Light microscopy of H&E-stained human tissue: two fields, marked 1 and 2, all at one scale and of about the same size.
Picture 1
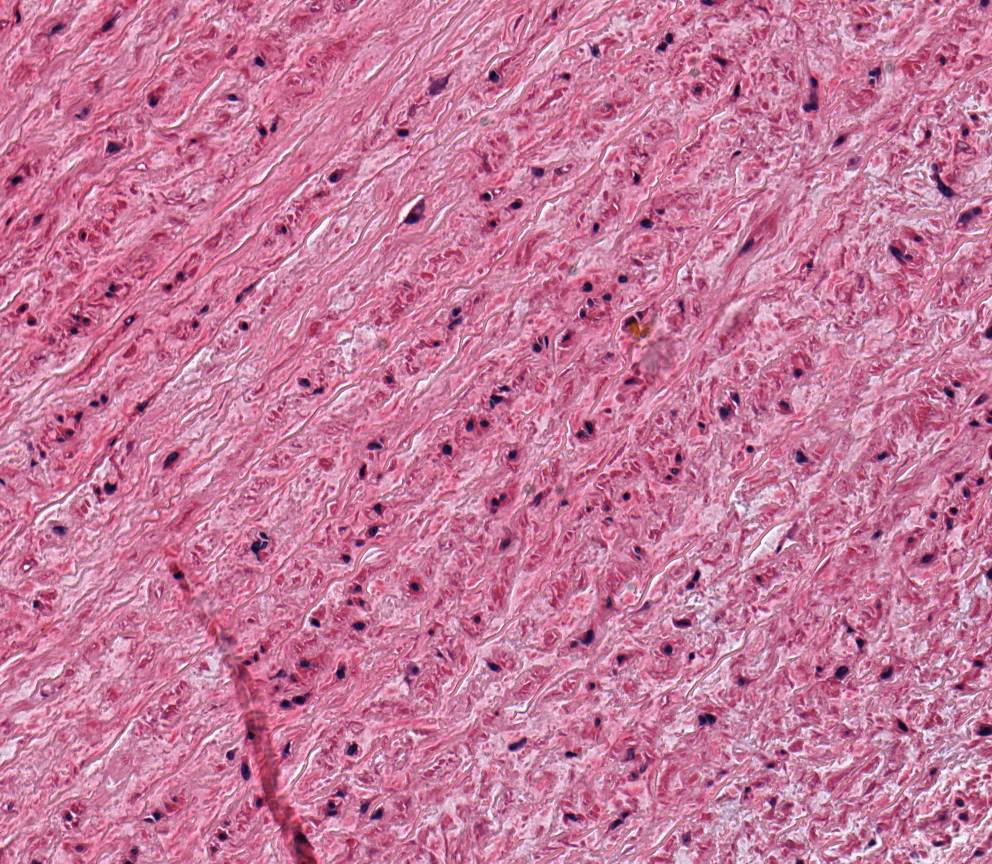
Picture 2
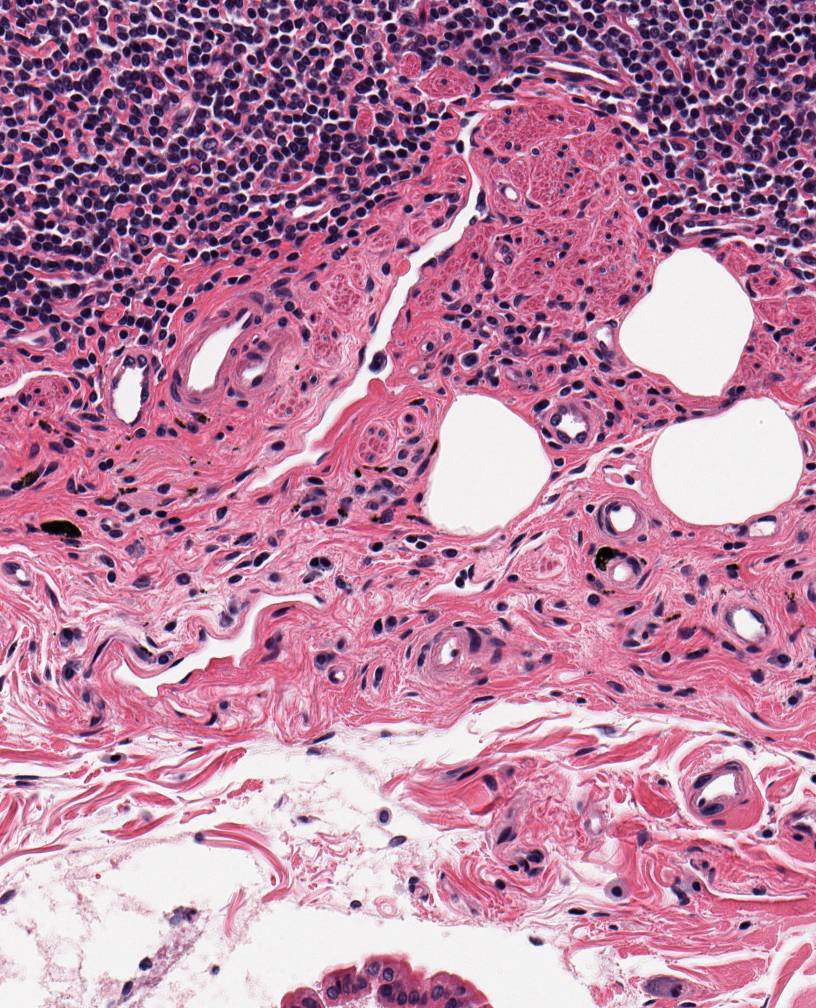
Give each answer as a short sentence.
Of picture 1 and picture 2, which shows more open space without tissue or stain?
It is picture 2 in which white space covers the larger part.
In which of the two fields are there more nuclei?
Picture 2 holds more nuclei than picture 1.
